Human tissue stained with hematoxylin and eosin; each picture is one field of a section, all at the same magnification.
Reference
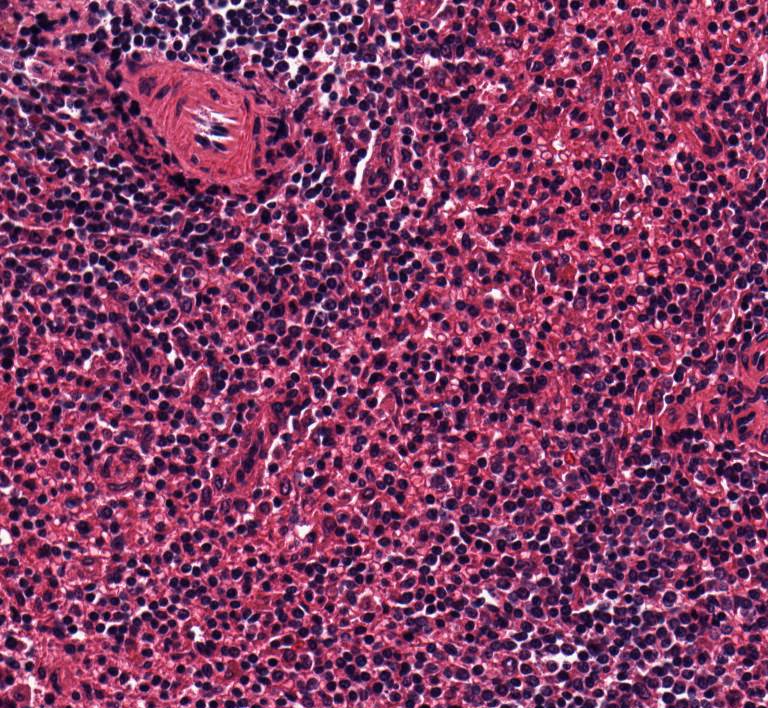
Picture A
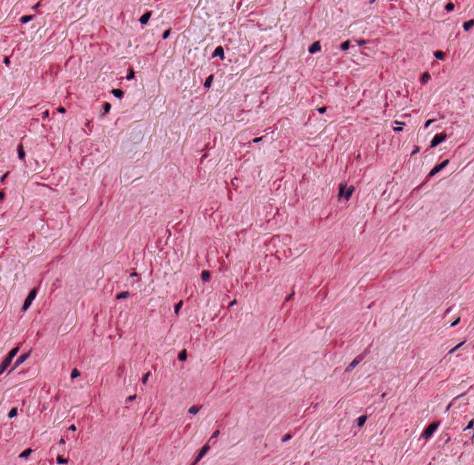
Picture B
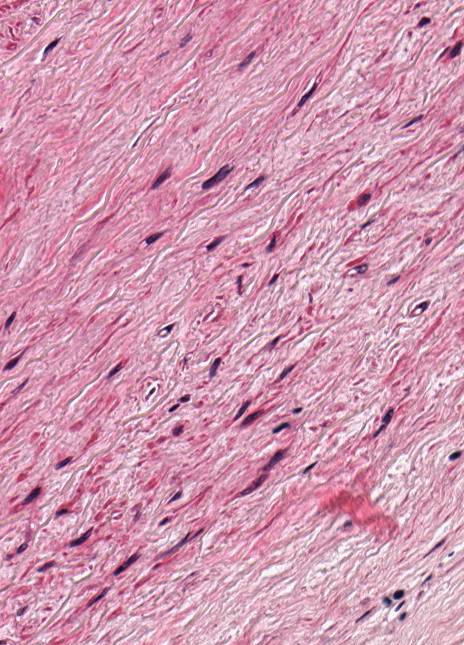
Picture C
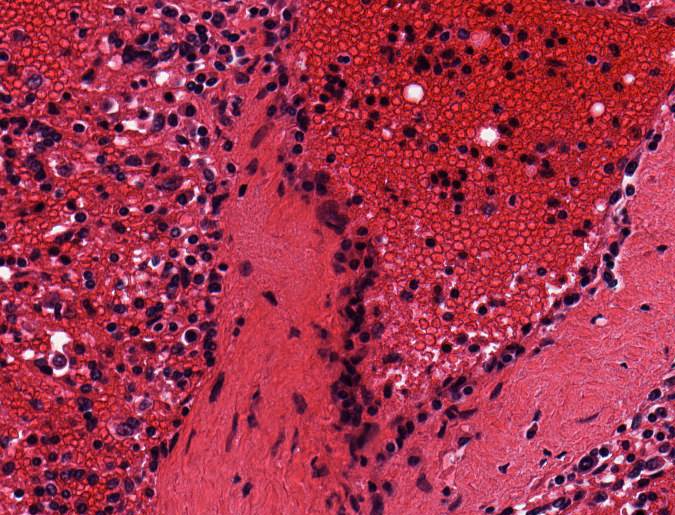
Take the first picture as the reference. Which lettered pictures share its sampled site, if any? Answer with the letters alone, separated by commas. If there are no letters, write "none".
C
